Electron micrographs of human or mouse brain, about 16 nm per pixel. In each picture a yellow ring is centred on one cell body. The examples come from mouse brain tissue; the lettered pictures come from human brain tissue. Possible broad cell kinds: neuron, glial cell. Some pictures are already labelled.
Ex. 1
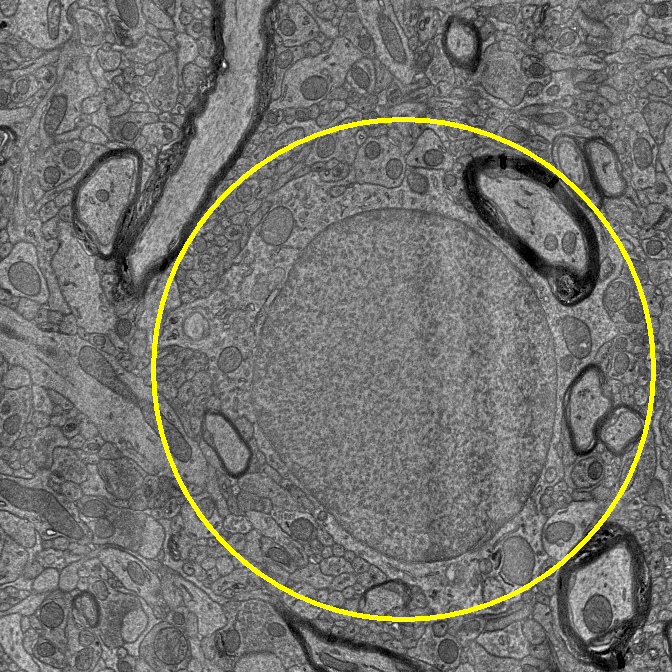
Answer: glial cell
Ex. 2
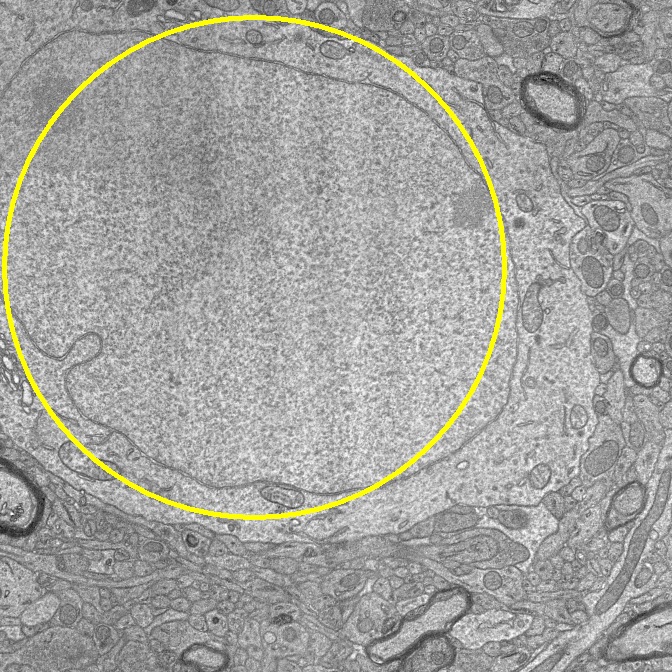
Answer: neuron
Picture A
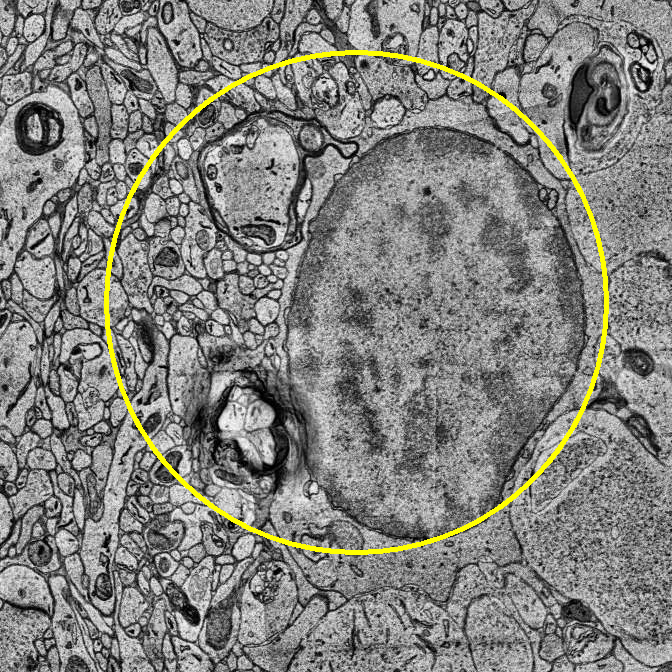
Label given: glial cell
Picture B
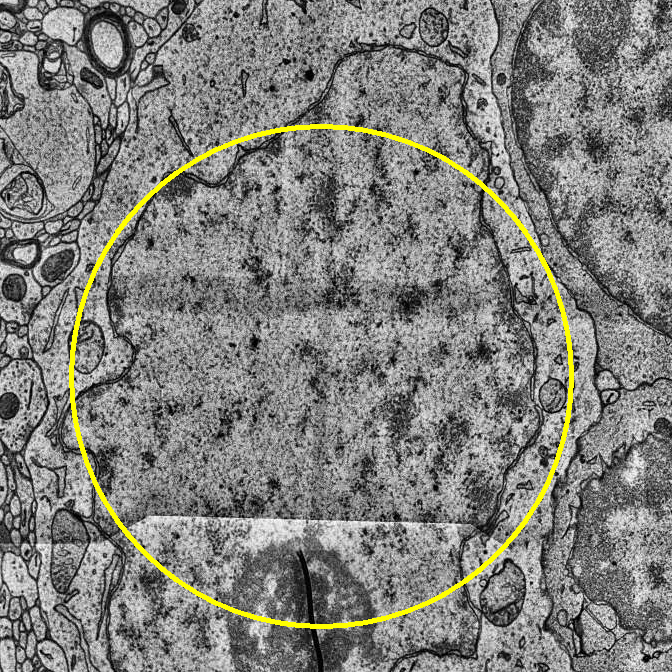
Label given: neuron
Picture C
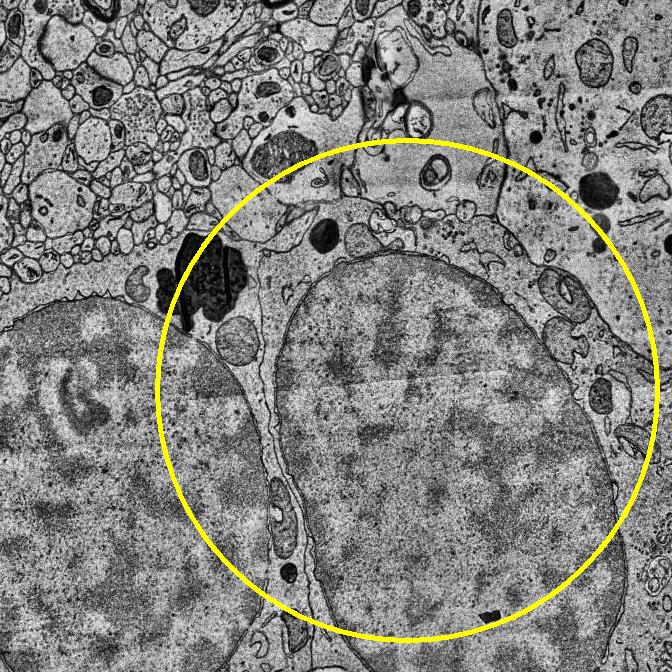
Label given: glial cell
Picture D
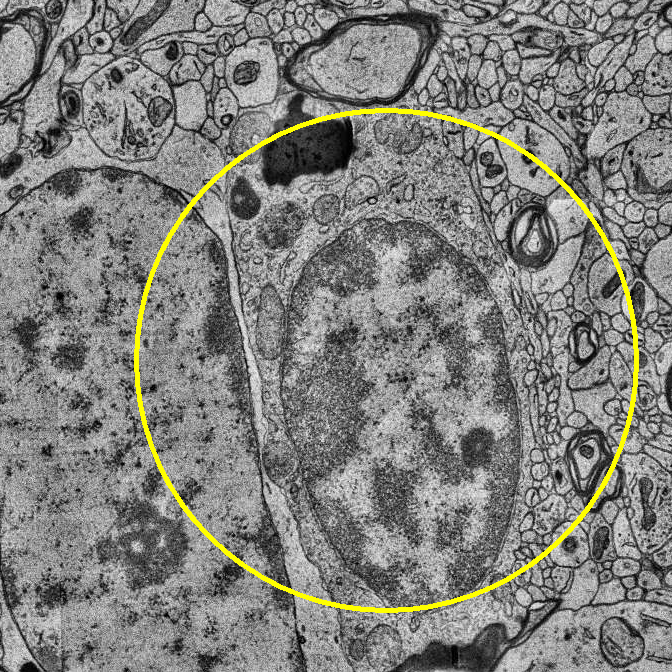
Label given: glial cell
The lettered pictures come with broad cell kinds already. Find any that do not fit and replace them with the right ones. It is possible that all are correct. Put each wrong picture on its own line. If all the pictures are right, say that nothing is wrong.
All labels are correct.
